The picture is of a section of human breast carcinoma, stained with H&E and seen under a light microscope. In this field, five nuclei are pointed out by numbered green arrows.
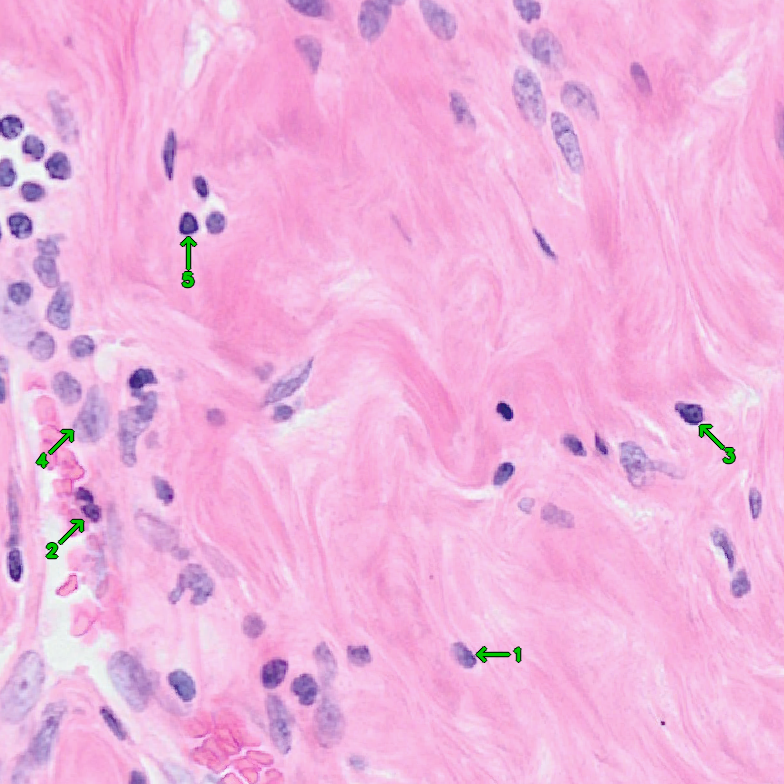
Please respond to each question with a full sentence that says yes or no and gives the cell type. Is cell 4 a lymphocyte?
No, cell 4 is to be classed as an endothelial cell, not a lymphocyte.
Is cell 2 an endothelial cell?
Yes, the cell sitting at number 2 is an endothelial cell.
